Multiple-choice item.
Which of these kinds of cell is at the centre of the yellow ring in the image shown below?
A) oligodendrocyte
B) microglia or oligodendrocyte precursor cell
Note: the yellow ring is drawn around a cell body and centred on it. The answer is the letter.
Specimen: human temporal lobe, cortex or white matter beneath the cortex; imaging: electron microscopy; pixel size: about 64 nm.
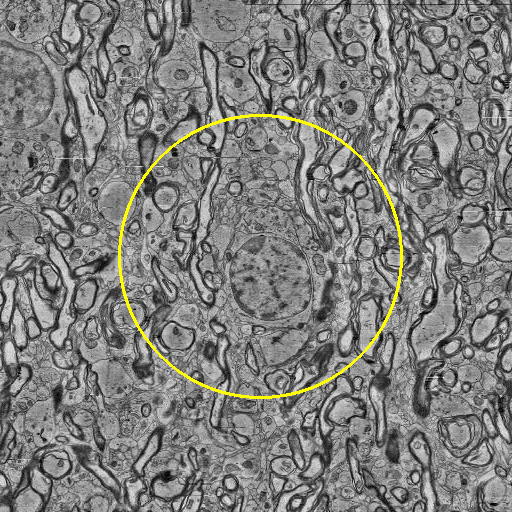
B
